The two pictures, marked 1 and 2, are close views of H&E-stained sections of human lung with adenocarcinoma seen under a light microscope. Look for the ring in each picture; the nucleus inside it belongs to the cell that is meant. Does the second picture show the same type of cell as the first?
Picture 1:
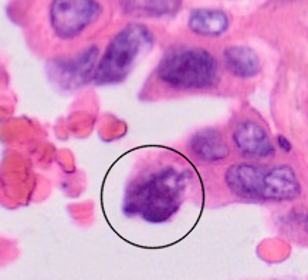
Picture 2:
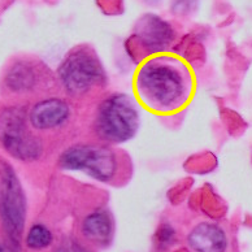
yes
